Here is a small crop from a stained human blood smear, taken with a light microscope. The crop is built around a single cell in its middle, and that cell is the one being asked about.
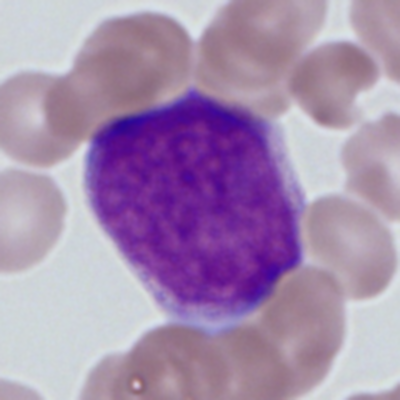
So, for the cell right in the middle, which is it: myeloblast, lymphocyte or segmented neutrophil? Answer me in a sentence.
The centered cell in this crop is a myeloblast.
